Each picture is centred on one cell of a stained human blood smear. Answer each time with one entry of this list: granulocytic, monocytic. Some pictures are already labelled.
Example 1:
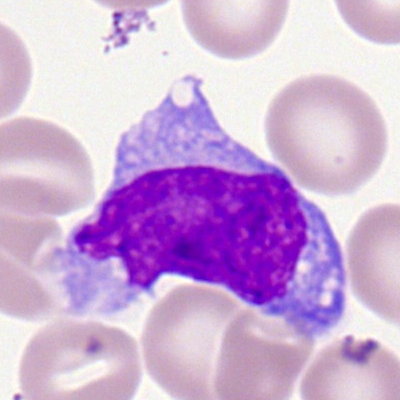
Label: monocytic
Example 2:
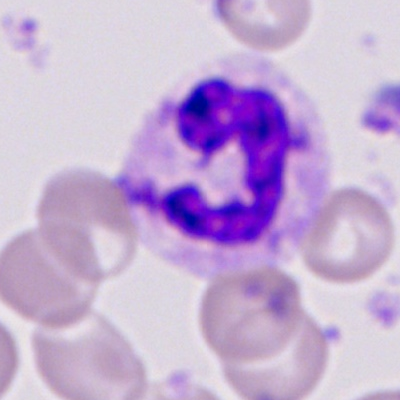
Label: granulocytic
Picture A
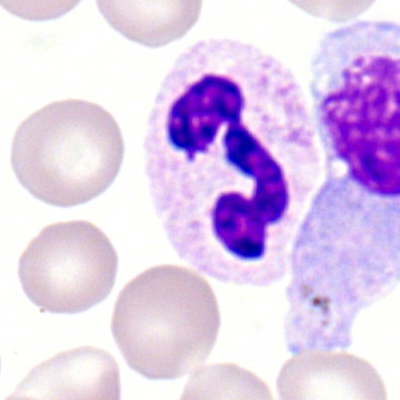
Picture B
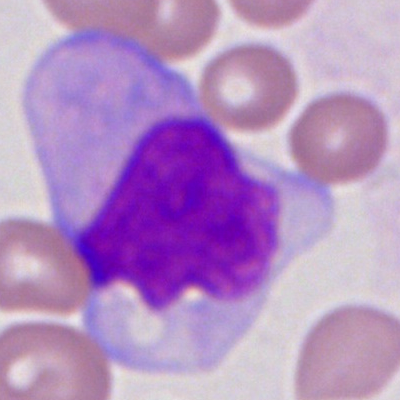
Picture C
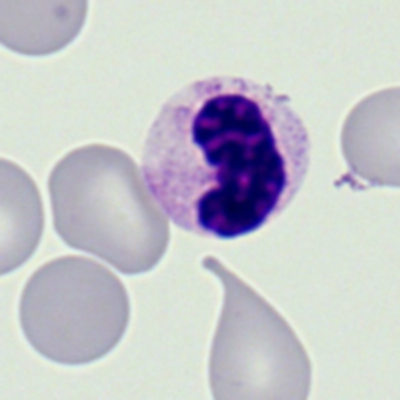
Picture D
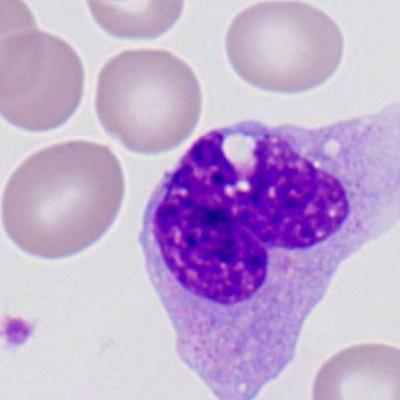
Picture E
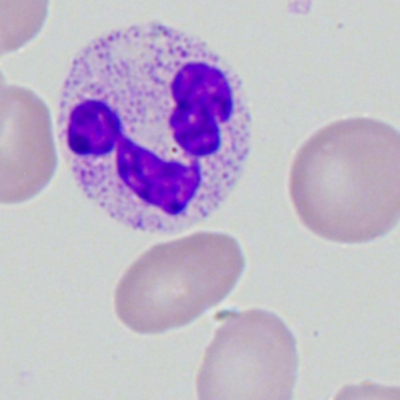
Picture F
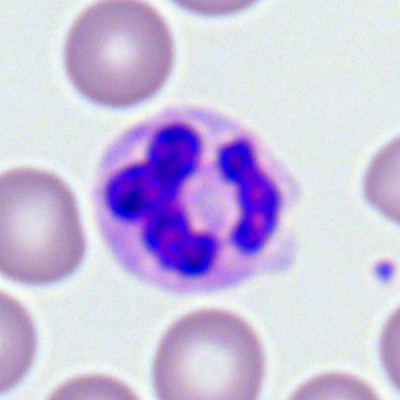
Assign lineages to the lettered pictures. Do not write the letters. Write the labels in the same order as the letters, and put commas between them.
granulocytic, monocytic, granulocytic, monocytic, granulocytic, granulocytic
